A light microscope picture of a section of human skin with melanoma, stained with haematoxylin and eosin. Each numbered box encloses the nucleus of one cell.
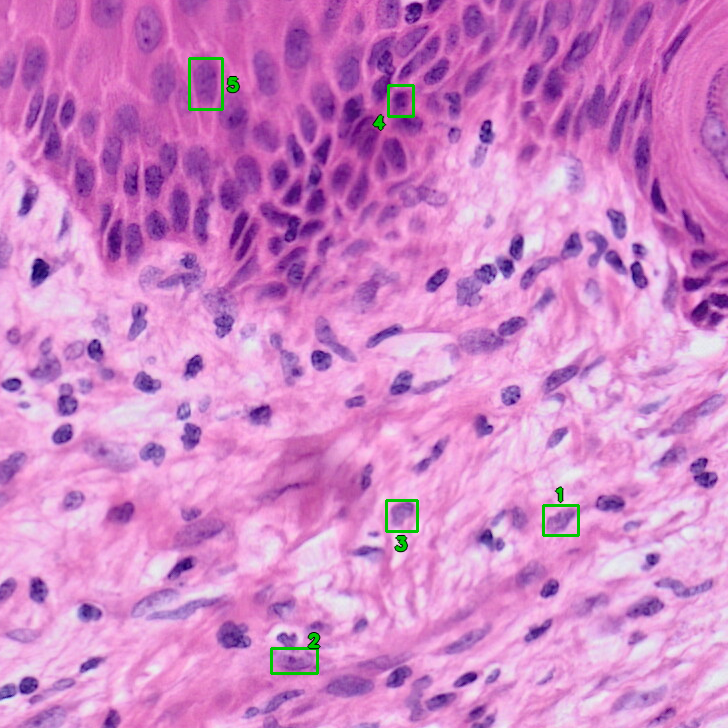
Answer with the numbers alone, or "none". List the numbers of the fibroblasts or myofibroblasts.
1, 2, 3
